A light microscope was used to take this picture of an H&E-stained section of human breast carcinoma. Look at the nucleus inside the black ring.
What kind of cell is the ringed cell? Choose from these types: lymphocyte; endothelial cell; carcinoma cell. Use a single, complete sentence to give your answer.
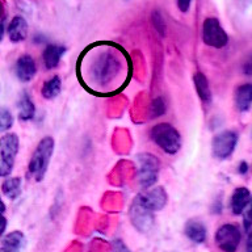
As classified here, the ringed cell is an endothelial cell.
